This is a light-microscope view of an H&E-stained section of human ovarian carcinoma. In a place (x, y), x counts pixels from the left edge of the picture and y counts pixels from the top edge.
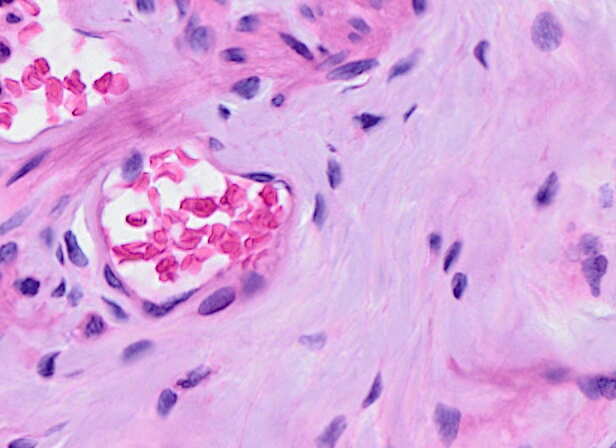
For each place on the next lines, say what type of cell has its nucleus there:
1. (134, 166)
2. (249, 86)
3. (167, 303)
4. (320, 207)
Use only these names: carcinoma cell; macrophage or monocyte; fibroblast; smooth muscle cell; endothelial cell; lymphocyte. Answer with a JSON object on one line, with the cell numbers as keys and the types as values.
{"1": "endothelial cell", "2": "smooth muscle cell", "3": "endothelial cell", "4": "fibroblast"}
